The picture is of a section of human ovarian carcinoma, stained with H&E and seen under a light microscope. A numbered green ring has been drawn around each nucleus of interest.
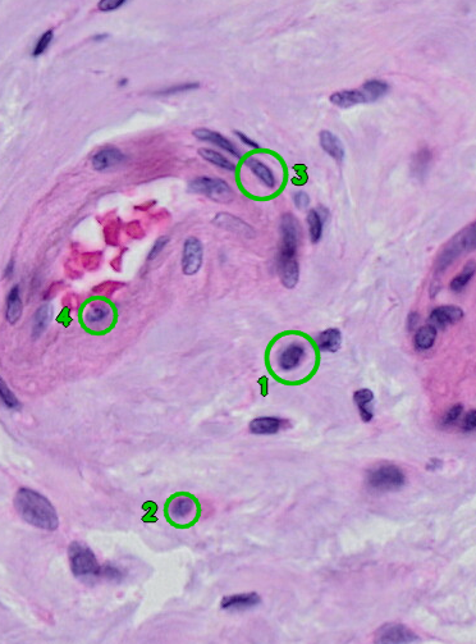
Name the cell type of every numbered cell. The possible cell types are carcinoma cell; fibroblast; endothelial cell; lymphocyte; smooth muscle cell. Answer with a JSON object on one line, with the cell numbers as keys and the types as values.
{"1": "lymphocyte", "2": "smooth muscle cell", "3": "smooth muscle cell", "4": "endothelial cell"}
